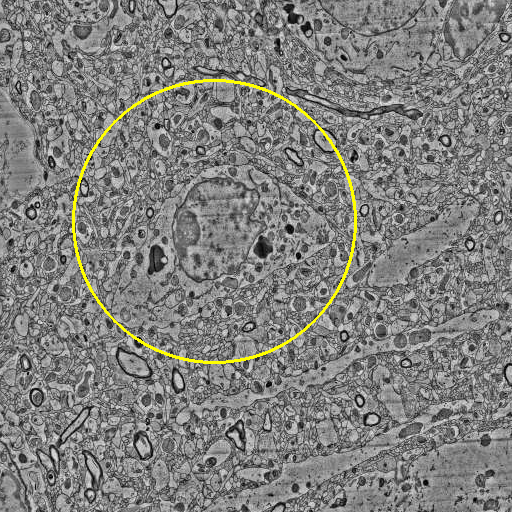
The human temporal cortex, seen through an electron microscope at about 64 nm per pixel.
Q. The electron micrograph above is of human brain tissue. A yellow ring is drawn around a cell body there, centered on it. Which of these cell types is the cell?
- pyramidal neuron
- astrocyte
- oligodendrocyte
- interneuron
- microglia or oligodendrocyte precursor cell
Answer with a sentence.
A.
The cell under the ring's center is an interneuron.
